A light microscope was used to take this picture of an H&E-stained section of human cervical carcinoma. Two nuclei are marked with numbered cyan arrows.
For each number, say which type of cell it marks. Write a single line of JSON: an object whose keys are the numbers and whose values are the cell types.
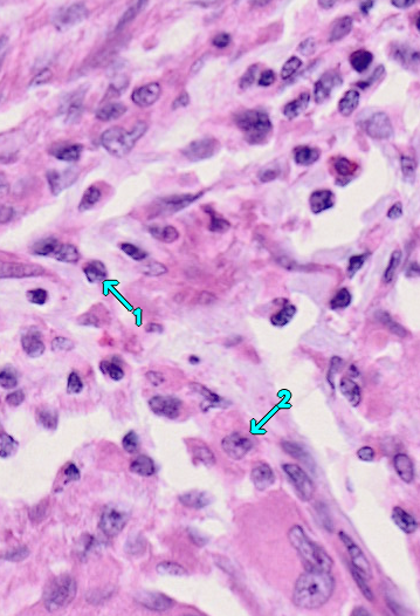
{"1": "lymphocyte", "2": "macrophage or monocyte"}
